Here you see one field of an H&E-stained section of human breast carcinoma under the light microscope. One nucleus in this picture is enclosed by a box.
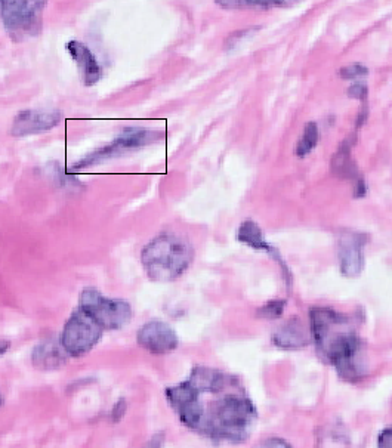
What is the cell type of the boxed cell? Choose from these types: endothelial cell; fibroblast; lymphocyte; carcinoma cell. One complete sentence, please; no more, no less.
Among the cells in this section, the boxed cell is a fibroblast.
